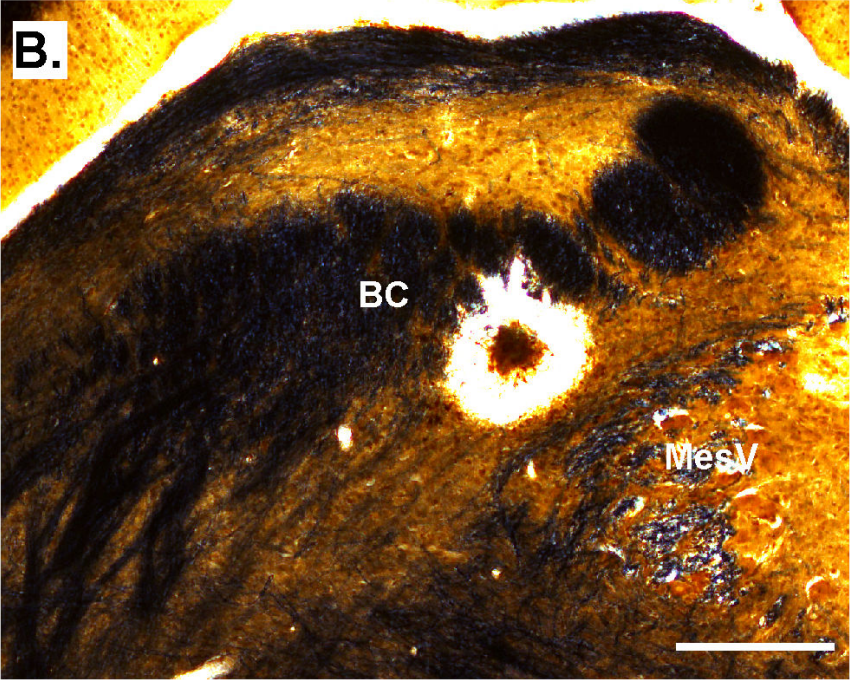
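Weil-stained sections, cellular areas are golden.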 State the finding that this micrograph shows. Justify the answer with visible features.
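Lesions. A round pale hole with a dark brown center interrupts the tissue just below the large black bundle.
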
